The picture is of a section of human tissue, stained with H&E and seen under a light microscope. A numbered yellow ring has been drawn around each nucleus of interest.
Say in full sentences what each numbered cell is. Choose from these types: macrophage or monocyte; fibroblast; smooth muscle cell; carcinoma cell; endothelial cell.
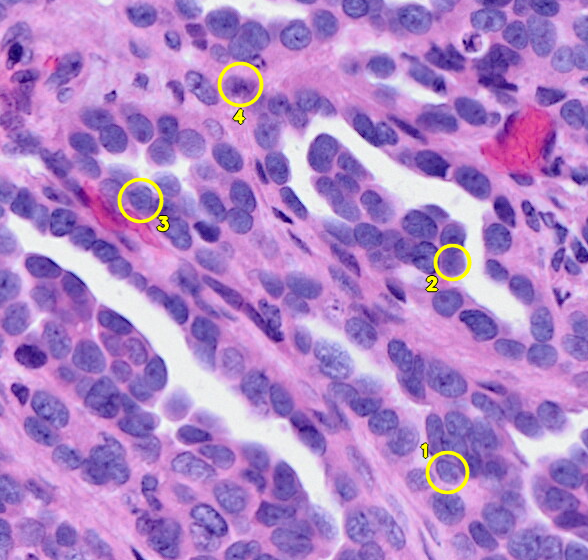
Cell 1 is a carcinoma cell, cell 2 is a carcinoma cell, cell 3 is a carcinoma cell and cell 4 is a fibroblast.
